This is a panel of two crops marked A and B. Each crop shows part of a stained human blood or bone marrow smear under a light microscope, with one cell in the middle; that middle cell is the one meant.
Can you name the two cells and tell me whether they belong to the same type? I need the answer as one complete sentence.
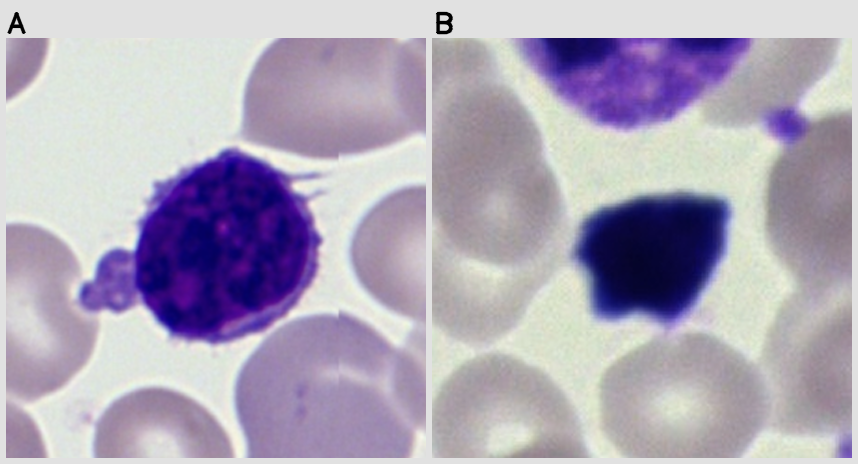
Yes, lymphocytes occupy the centre of both crops.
